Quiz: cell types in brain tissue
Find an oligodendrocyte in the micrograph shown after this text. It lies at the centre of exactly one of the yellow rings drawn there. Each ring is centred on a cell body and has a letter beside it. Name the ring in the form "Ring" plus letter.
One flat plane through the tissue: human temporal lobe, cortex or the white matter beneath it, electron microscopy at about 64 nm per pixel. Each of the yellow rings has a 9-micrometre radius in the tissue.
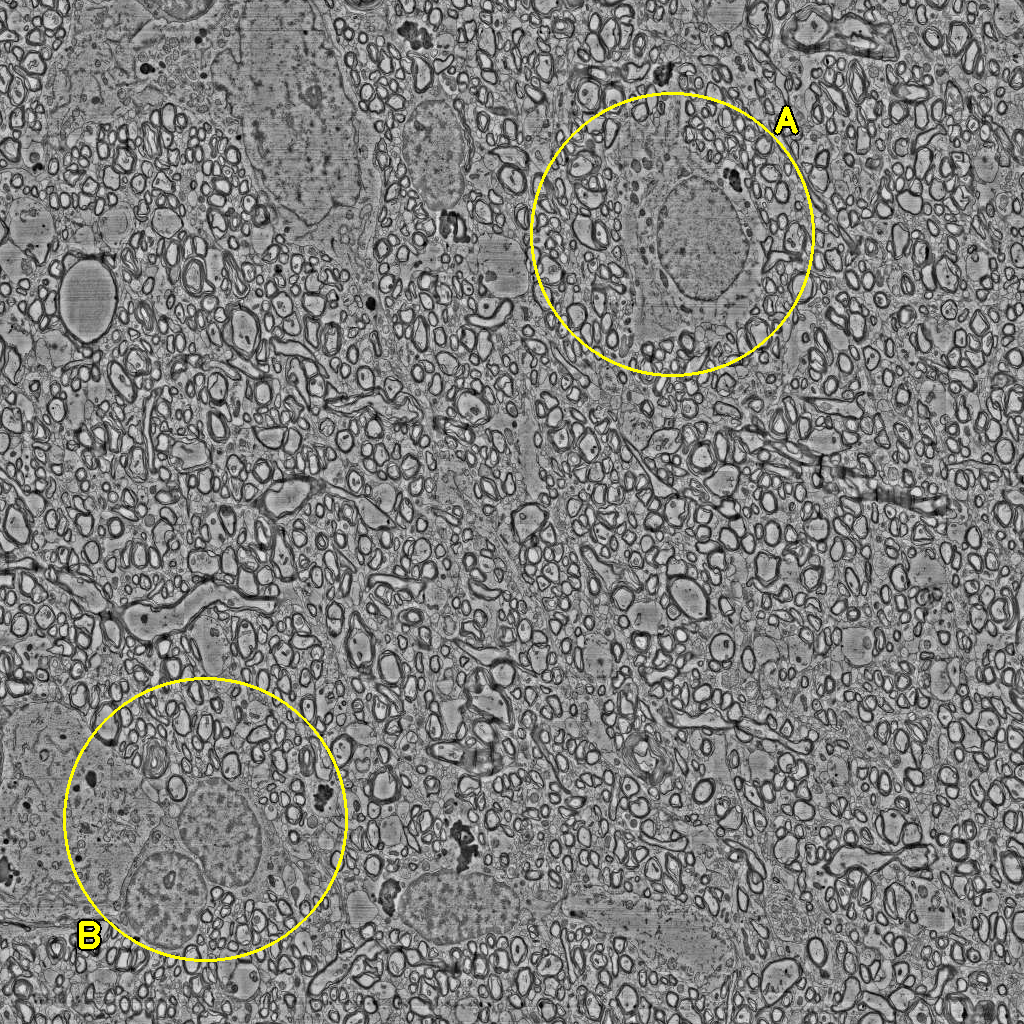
Ring B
